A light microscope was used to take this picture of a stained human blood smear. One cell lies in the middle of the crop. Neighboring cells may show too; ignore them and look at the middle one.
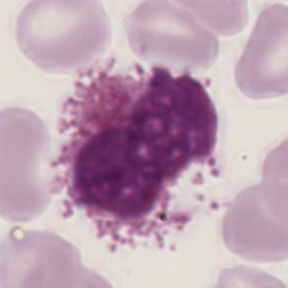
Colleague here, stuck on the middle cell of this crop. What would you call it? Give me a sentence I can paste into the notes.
The cell at the central position in this crop is an eosinophil.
